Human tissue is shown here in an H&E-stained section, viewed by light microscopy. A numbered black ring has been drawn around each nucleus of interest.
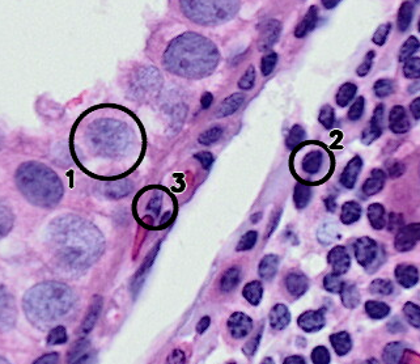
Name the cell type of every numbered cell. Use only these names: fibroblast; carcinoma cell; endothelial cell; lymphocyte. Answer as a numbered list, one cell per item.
1. carcinoma cell
2. lymphocyte
3. endothelial cell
